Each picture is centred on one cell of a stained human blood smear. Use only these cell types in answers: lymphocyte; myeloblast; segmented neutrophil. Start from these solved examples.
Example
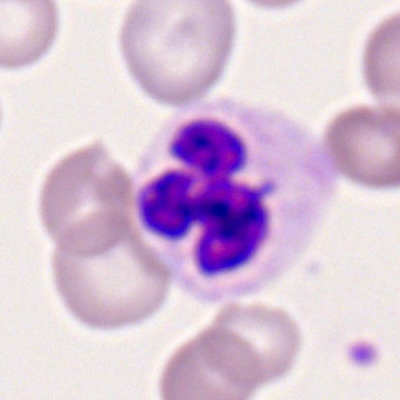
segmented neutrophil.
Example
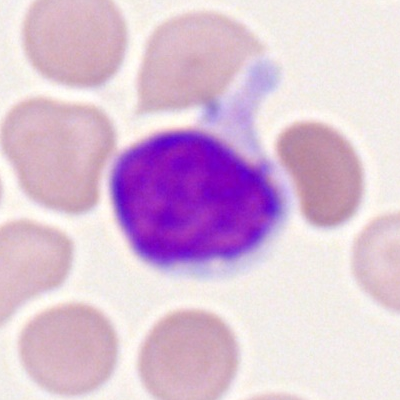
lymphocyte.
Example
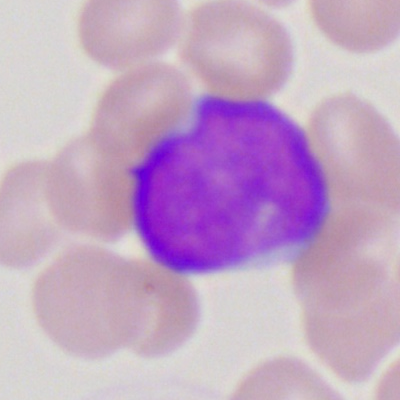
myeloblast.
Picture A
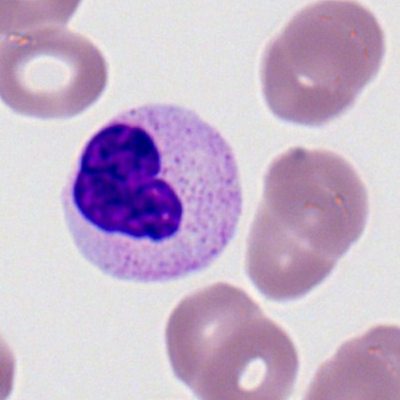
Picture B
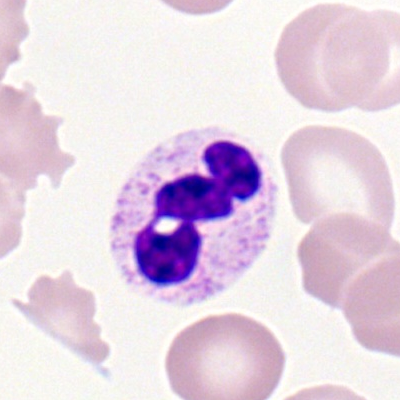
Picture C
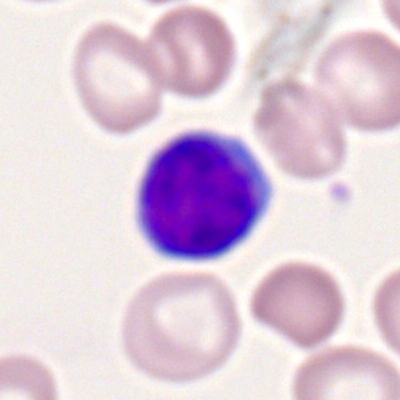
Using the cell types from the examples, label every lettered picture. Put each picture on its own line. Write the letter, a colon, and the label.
A: segmented neutrophil.
B: segmented neutrophil.
C: lymphocyte.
